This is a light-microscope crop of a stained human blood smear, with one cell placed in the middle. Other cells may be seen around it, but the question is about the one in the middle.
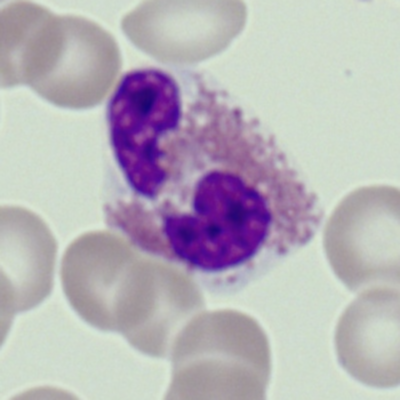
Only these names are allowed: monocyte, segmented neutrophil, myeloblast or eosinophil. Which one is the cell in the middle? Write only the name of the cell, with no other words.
eosinophil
